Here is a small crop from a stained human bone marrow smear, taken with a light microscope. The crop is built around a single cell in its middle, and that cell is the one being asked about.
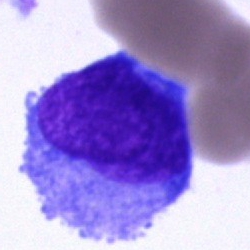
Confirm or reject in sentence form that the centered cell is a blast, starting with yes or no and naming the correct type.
Yes, the cell that lies centrally is a blast.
